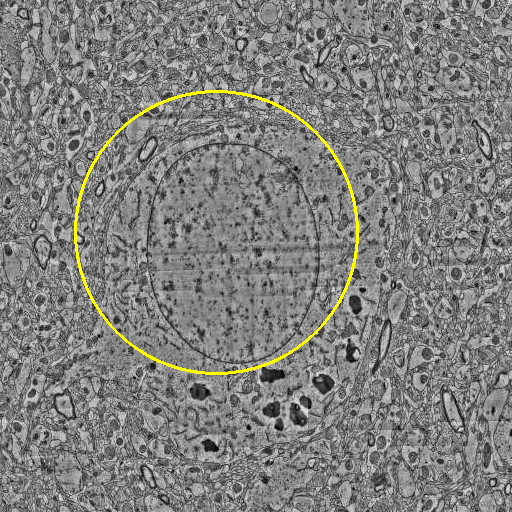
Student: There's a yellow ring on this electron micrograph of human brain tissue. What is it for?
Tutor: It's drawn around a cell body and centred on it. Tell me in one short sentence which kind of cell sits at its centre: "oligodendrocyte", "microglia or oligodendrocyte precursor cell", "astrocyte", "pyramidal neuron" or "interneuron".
The cell at the centre of the ring is a pyramidal neuron.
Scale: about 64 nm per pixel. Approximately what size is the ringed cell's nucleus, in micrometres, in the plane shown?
In this plane, about 14 micrometres in length and 11 in width.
